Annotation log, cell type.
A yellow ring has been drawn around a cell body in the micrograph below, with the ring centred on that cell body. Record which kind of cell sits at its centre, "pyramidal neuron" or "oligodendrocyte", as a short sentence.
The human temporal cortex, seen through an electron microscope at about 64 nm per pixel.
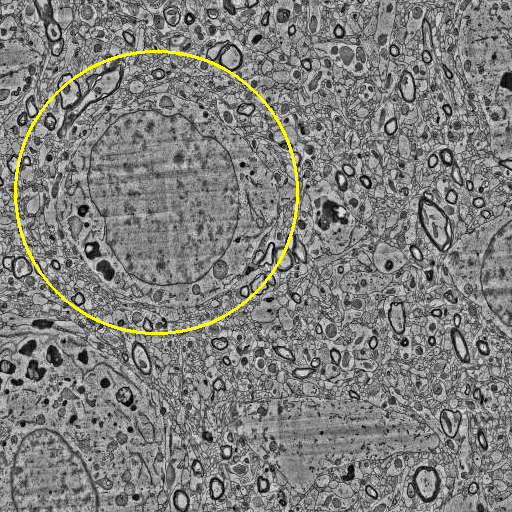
The cell at the centre of this ring is a pyramidal neuron.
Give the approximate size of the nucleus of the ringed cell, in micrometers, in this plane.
The nucleus is approximately 12 micrometers long by 10 micrometers wide in this plane.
